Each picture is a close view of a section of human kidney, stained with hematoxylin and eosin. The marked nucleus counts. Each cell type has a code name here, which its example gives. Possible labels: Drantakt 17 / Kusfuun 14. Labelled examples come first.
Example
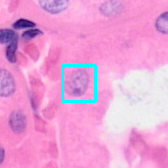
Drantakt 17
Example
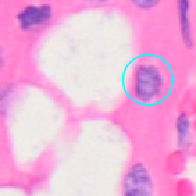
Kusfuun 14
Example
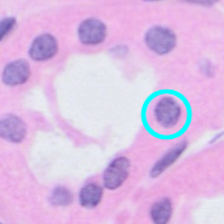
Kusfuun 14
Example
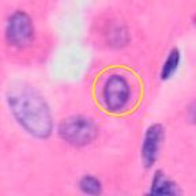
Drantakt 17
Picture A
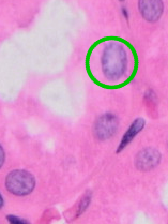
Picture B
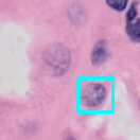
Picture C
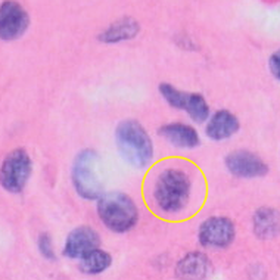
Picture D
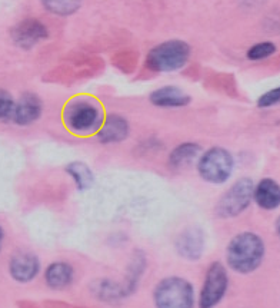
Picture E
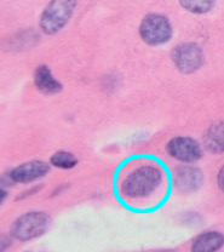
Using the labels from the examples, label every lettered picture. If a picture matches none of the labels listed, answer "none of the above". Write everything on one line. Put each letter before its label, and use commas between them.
A Drantakt 17, B Kusfuun 14, C Kusfuun 14, D none of the above, E none of the above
